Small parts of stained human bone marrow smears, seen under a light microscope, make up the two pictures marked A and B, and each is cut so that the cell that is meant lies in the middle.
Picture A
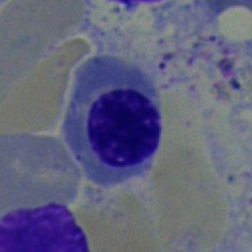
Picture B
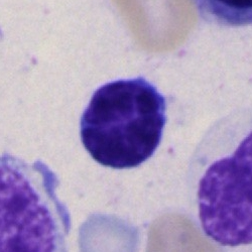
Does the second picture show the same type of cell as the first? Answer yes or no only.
no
